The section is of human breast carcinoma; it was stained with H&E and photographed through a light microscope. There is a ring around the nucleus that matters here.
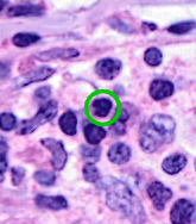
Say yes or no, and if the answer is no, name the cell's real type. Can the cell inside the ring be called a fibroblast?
No, it is a lymphocyte.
